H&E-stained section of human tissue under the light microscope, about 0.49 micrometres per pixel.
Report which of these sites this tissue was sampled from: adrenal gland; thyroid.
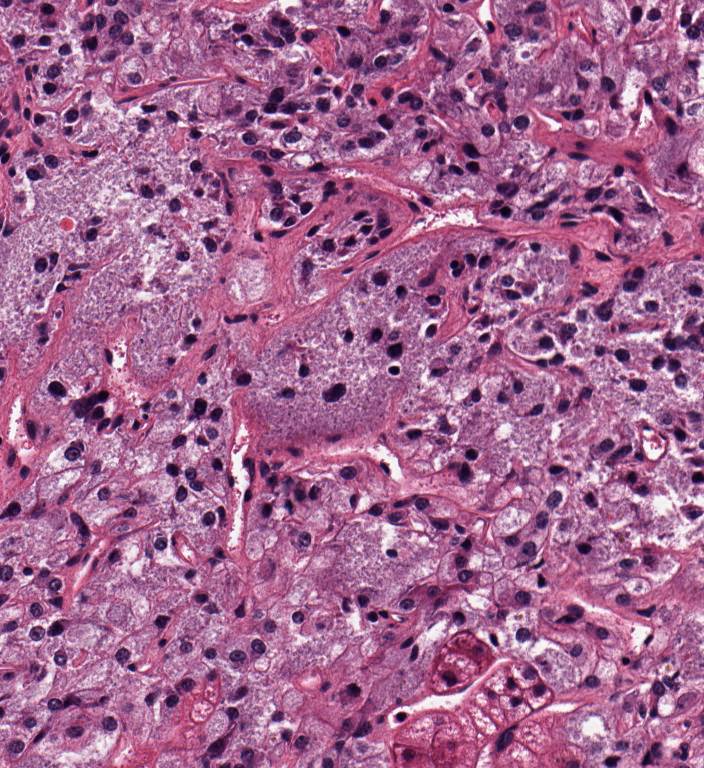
adrenal gland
